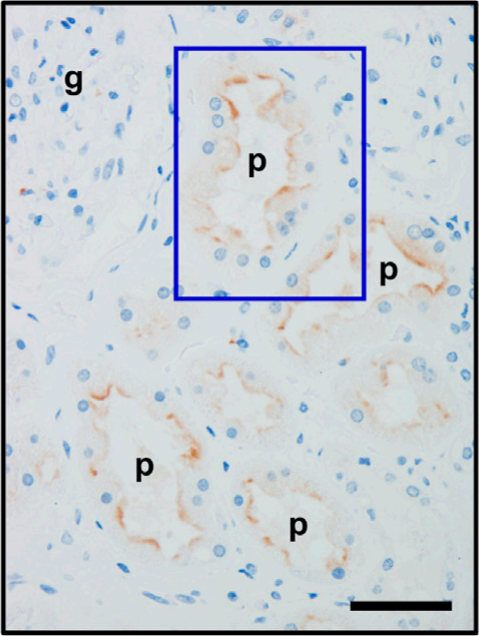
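Renal cortex with several cross-sectioned proximal tubules lined by large cuboidal epithelial cells with round blue nuclei and pale cytoplasm, set among interstitium with small elongated nuclei. A brown stain lines the inner, luminal border of each tubule, while the rest of the cytoplasm stays pale. Part of a glomerulus lies at the upper left, unstained.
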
